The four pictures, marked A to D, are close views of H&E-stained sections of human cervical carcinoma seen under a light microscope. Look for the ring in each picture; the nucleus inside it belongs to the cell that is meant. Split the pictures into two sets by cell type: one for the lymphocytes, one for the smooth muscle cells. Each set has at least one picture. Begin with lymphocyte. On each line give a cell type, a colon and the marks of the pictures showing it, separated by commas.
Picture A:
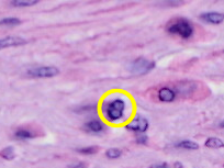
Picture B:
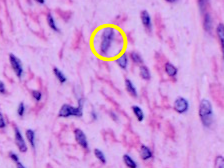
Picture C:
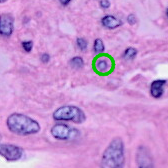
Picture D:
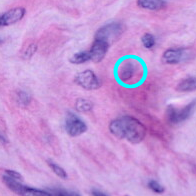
lymphocyte: A
smooth muscle cell: B, C, D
